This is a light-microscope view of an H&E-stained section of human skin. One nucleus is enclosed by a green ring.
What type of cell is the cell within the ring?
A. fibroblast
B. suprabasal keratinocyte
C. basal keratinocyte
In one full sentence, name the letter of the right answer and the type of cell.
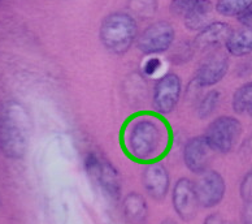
Among the choices, option B is correct, the cell within the ring being a suprabasal keratinocyte.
